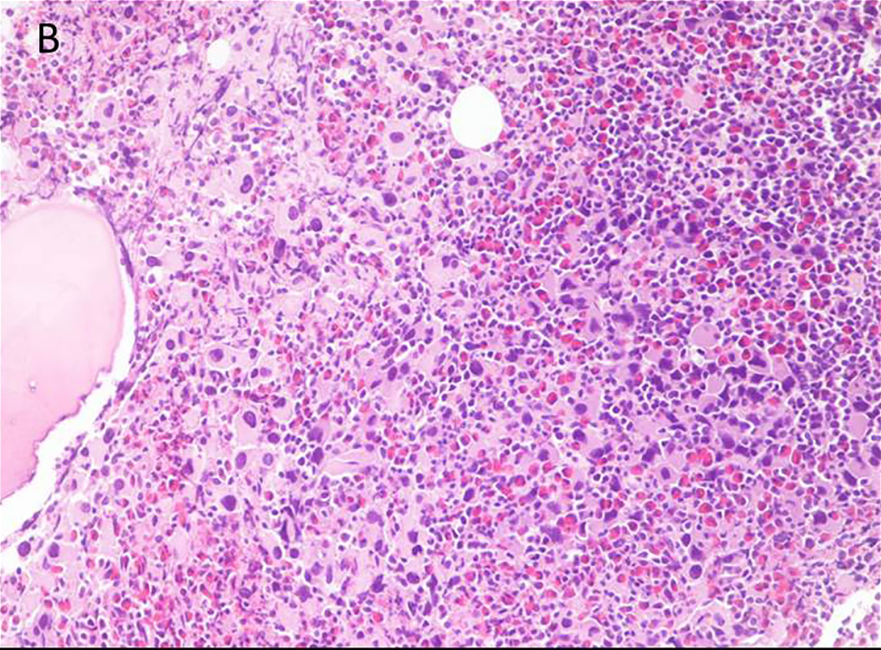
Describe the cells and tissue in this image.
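Hypercellular bone marrow with many micro-megakaryocytes scattered among granulocytic precursors and eosinophils, next to a bone trabecula at the left edge. The micro-megakaryocytes have moderate amounts of pale pink cytoplasm and single round to oval nuclei with few or no lobes. Many interspersed cells have bright red-orange granular cytoplasm. A paler area in the upper left holds spindle-shaped cells in a loose pink background, and there is very little fat.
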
